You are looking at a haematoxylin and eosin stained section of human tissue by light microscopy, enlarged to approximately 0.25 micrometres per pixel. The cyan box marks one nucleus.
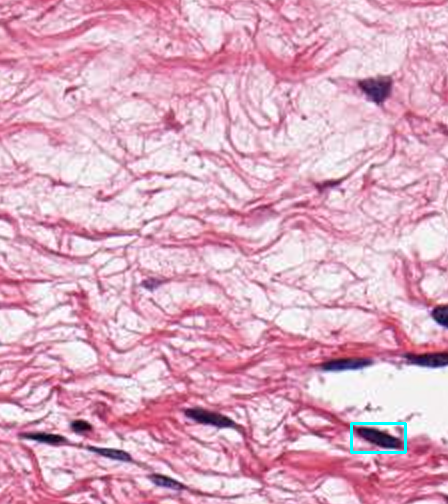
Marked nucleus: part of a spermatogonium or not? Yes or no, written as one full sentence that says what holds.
No, as for the marked nucleus, it belongs to a supporting cell and not to a spermatogonium.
